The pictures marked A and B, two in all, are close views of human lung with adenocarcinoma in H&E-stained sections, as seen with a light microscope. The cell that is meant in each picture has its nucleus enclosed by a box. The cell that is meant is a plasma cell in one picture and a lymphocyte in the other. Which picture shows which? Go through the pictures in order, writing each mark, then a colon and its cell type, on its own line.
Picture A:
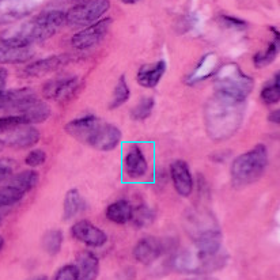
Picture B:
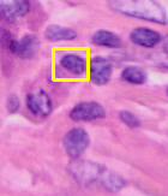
A: plasma cell
B: lymphocyte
